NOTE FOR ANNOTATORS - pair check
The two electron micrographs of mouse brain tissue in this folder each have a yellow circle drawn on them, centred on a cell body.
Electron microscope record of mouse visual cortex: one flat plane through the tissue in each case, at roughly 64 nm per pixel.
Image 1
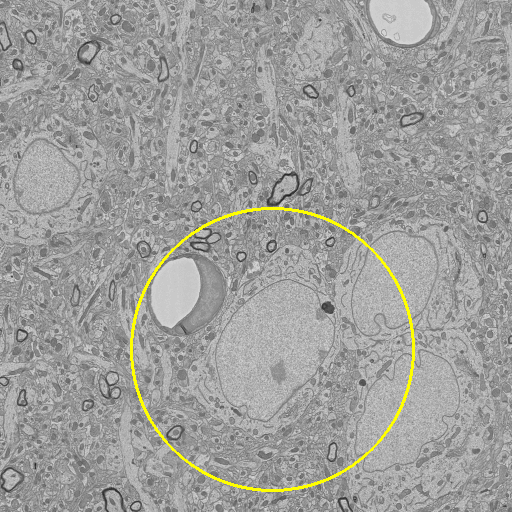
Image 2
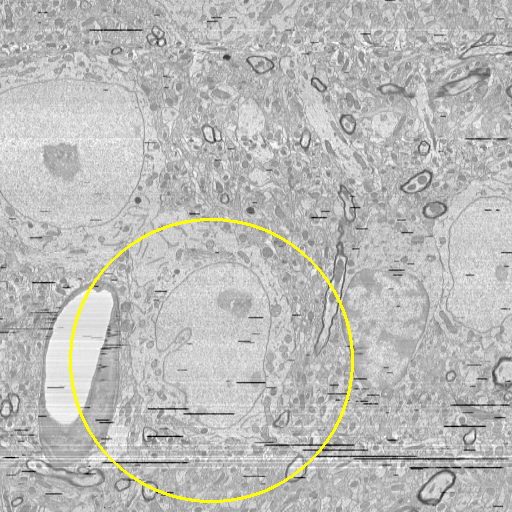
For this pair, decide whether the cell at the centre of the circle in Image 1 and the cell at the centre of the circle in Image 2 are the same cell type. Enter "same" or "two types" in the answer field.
same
